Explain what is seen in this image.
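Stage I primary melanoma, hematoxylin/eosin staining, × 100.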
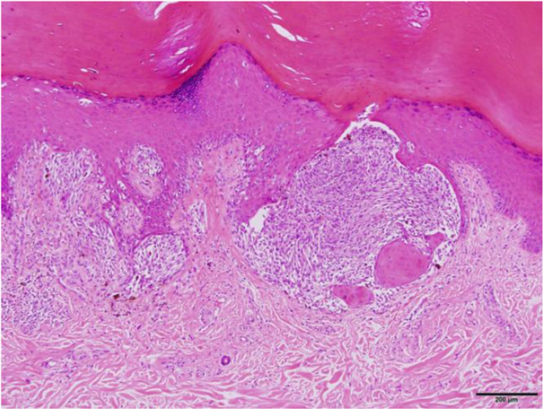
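This section shows skin with a very thick, compact pink horny layer on top and nests of atypical melanocytes below. Under the horny layer the epidermis forms a purple band, and from its lower border nests of crowded cells push into the dermis. The largest nest on the right is rounded and well delimited, with pink eosinophilic islands within it. Smaller nests and scattered cells lie to the left, with a little brown pigment among them. Beneath the nests the dermis is made of pale pink wavy collagen bundles.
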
